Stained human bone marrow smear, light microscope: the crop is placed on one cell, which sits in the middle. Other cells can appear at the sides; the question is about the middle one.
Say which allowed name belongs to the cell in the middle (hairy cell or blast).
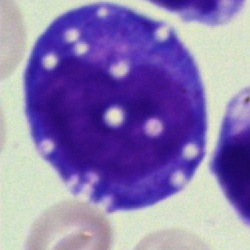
blast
